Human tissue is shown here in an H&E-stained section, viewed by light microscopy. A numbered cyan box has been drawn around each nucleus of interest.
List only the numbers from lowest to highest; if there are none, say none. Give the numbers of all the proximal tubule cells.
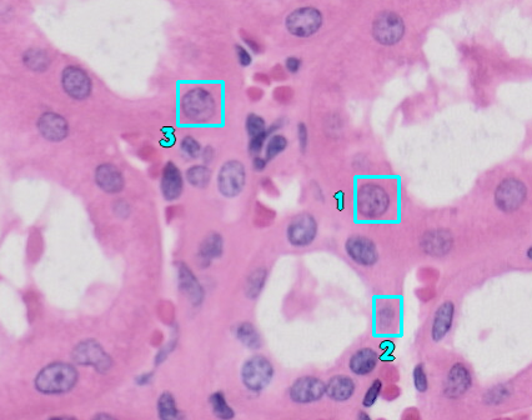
1, 3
